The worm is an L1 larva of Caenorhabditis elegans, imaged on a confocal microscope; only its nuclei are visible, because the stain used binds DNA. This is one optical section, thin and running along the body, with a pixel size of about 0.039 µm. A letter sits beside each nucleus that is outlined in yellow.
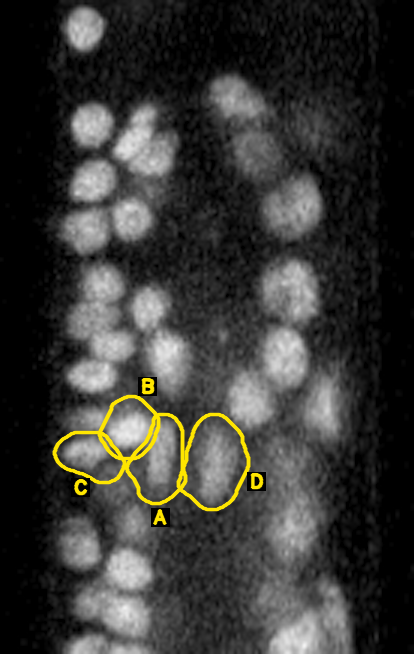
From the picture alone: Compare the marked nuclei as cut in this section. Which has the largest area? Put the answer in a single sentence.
D has the largest area in this section.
